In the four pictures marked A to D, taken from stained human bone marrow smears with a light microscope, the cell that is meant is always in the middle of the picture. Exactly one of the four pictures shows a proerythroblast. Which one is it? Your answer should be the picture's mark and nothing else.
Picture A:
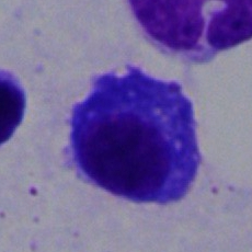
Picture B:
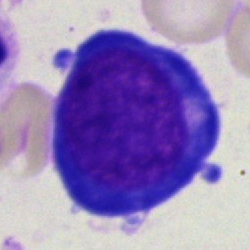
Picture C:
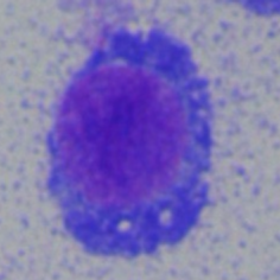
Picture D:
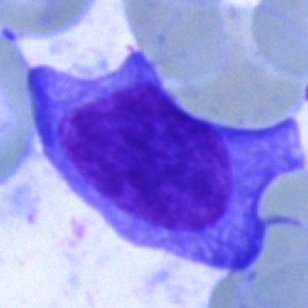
B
